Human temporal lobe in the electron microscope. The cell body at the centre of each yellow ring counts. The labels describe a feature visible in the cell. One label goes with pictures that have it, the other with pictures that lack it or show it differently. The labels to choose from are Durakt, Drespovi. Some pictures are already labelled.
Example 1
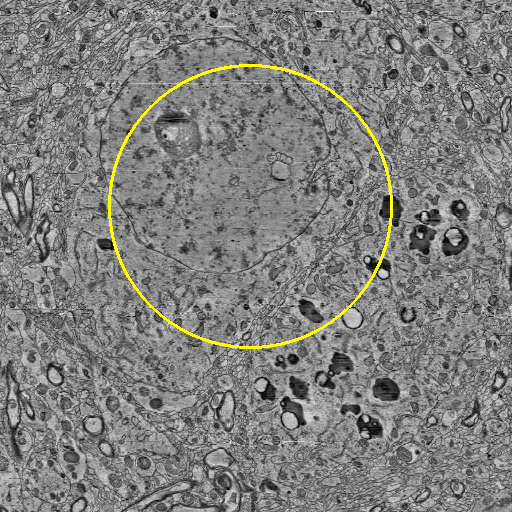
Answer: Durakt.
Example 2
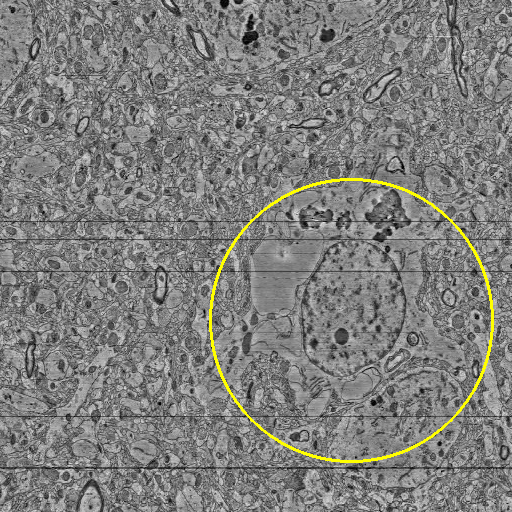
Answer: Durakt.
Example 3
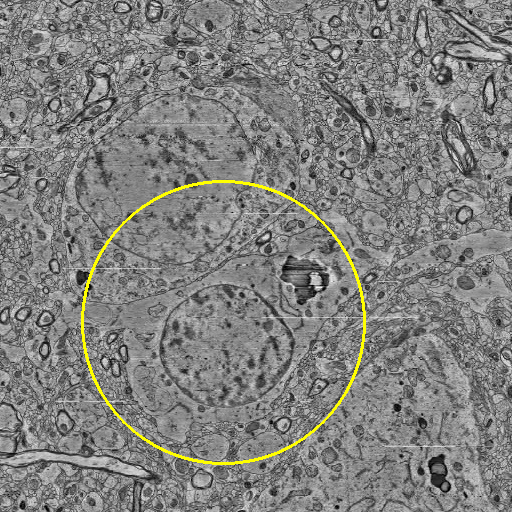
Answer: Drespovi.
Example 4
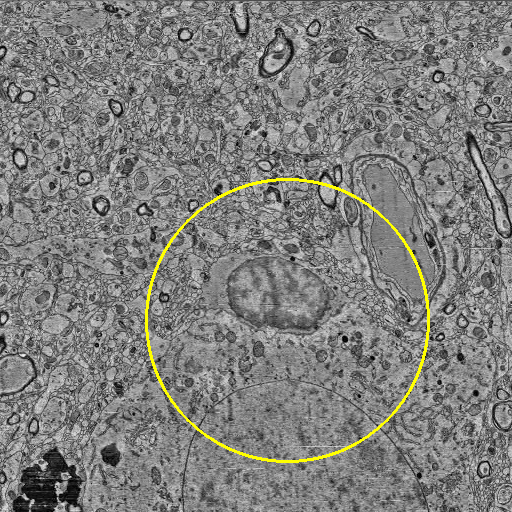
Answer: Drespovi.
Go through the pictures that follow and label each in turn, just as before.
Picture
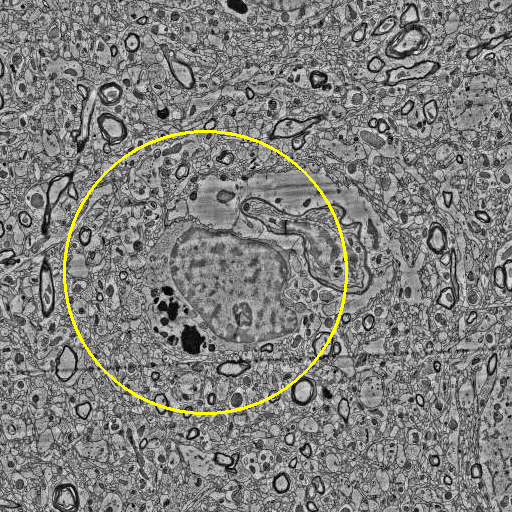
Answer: Durakt.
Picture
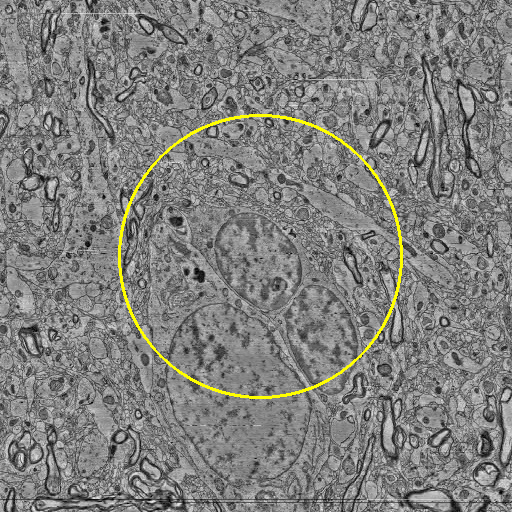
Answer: Durakt.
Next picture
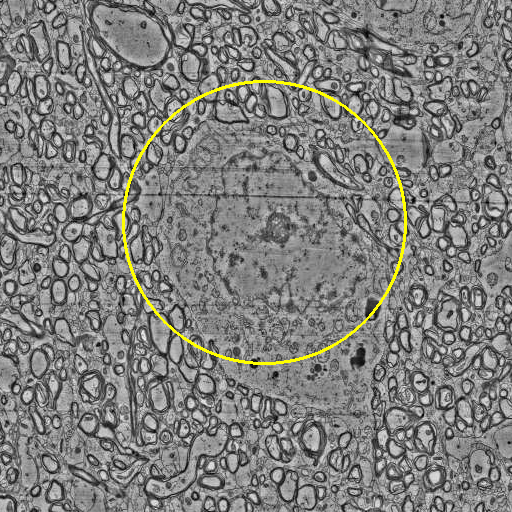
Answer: Durakt.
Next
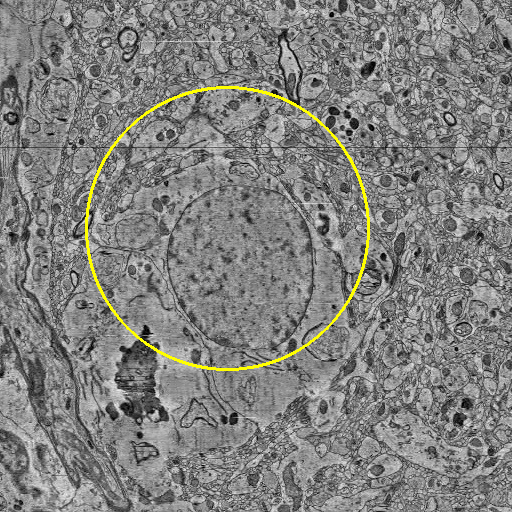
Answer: Drespovi.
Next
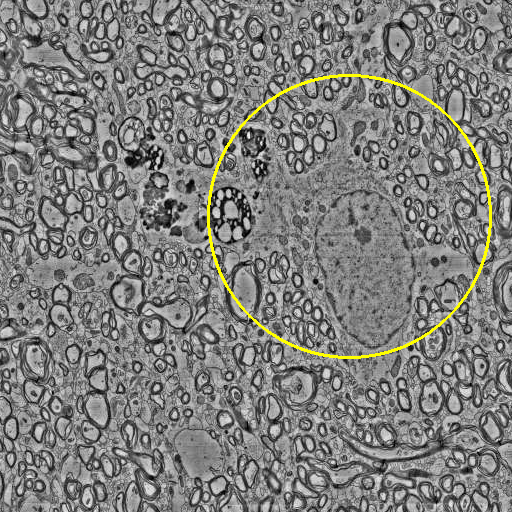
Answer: Durakt.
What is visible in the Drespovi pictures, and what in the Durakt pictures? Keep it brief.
Drespovi: no nucleolus seen; Durakt: nucleolus seen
